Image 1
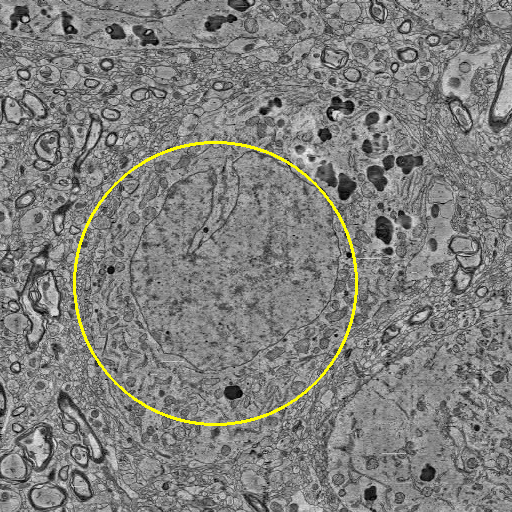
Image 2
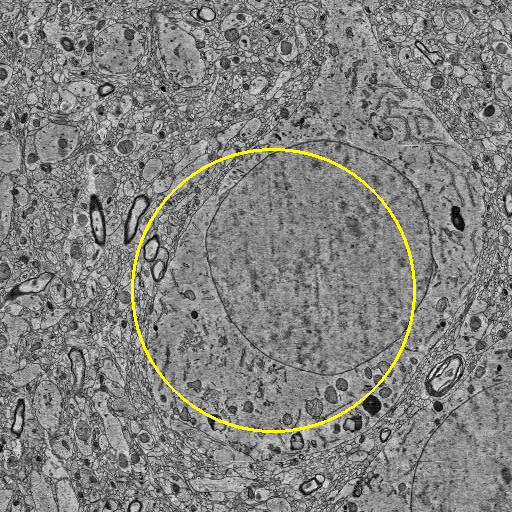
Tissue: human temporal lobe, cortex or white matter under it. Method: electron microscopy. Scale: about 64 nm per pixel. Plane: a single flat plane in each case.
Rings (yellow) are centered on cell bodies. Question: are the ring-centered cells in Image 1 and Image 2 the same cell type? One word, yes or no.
no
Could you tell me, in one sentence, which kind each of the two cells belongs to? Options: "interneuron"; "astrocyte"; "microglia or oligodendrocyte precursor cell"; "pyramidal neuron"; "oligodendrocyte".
At the centre of the first ring sits an interneuron, and at the centre of the second sits a pyramidal neuron.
